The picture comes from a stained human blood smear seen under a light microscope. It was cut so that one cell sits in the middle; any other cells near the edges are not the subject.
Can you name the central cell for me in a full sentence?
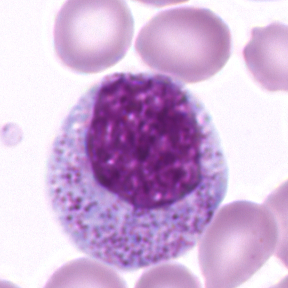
This crop's central cell is a myelocyte.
